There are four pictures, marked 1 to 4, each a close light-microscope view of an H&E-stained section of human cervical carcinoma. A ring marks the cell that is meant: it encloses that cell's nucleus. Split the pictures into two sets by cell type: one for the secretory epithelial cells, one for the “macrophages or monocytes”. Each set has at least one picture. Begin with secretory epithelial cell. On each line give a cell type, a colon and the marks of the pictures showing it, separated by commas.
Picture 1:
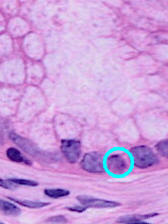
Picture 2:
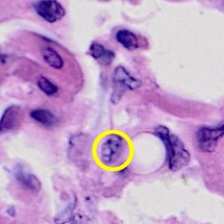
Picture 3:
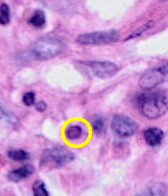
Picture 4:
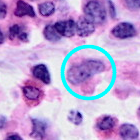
secretory epithelial cell: 1
macrophage or monocyte: 2, 3, 4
